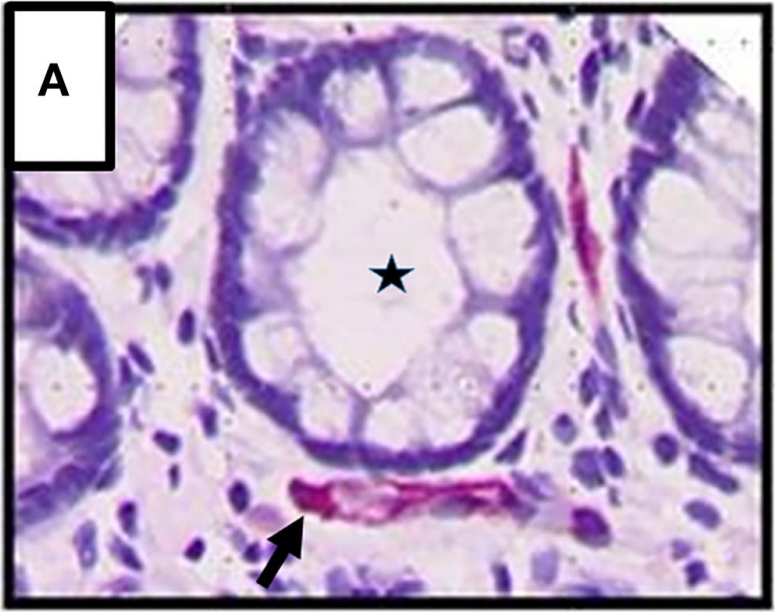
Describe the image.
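A colonic crypt is cut in cross section, lined by a single layer of epithelial cells with dark blue nuclei at the base and many pale, rounded mucus-filled cells around a central lumen. Parts of neighbouring crypts are seen at the edges.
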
